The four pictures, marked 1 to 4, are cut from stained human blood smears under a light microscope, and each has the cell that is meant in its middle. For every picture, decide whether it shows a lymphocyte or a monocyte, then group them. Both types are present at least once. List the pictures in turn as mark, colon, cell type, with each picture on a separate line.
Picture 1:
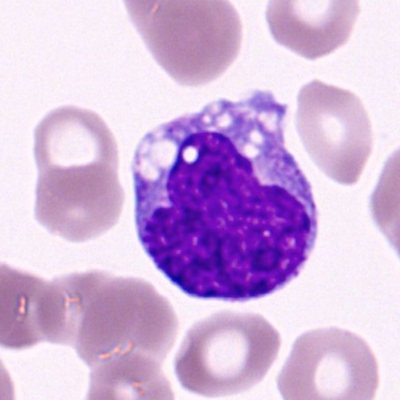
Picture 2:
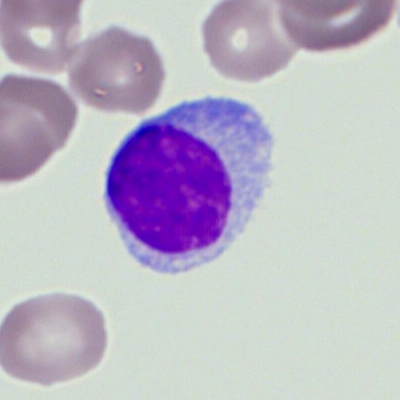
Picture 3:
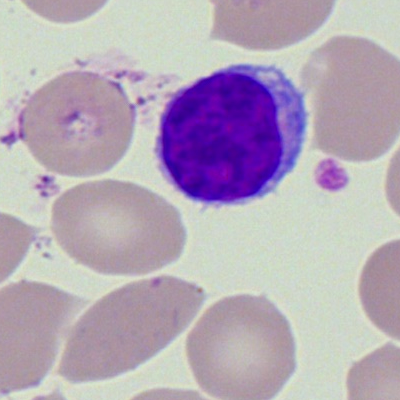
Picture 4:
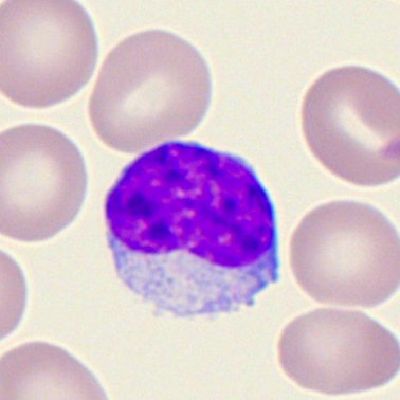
1: monocyte
2: lymphocyte
3: lymphocyte
4: lymphocyte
